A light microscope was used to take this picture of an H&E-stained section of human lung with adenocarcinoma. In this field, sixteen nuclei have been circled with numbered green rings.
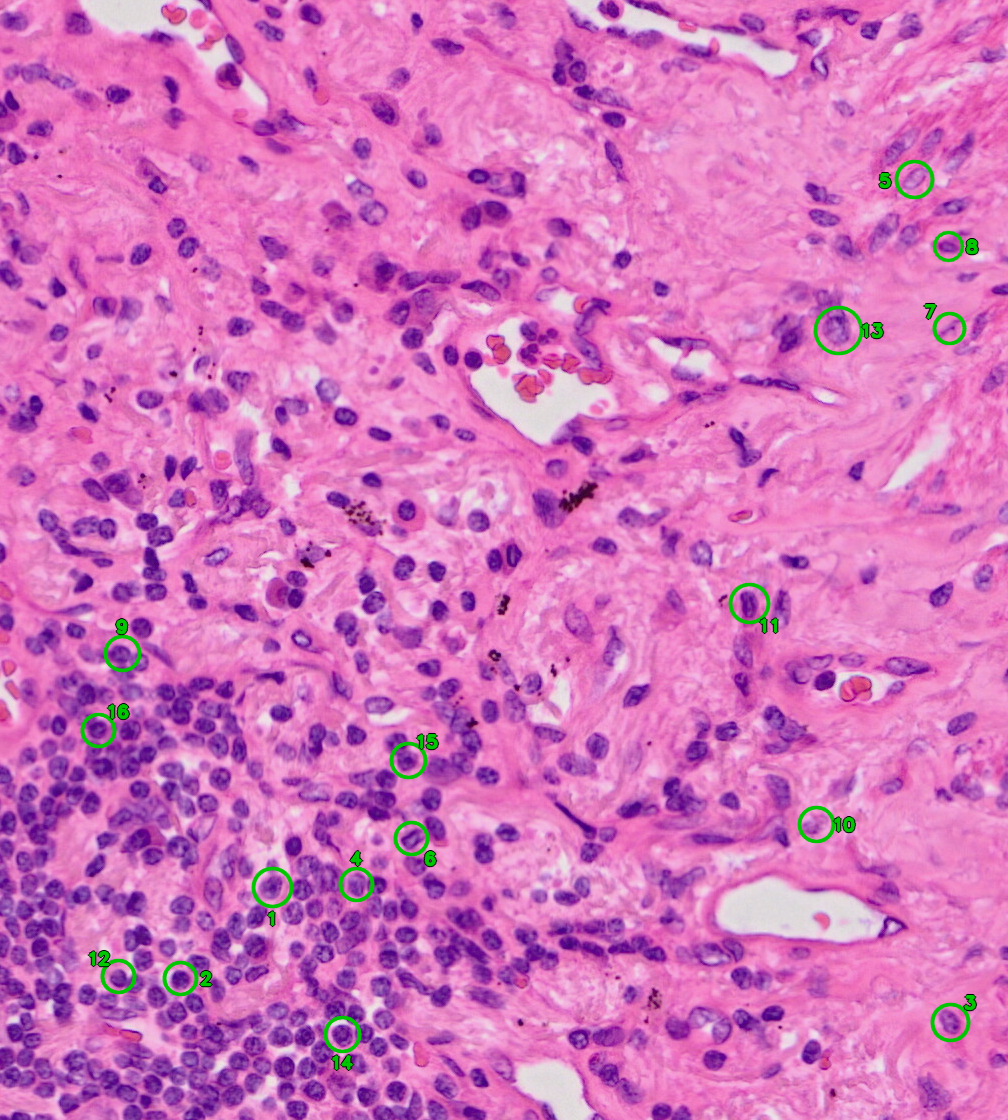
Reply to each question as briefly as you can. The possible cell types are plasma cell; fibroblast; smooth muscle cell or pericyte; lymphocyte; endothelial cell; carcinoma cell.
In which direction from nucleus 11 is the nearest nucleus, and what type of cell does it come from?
a fibroblast to the right of nucleus 11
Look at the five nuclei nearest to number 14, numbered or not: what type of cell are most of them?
lymphocyte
